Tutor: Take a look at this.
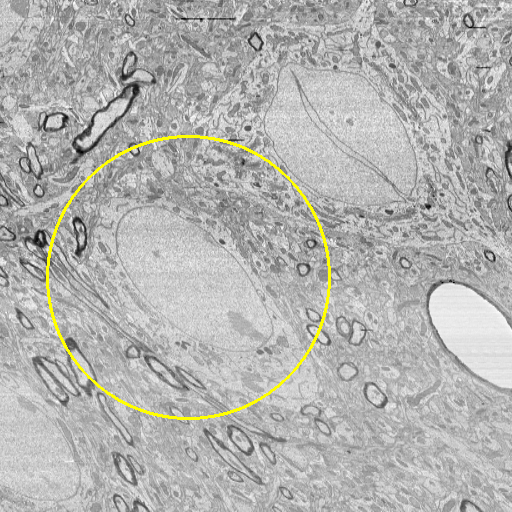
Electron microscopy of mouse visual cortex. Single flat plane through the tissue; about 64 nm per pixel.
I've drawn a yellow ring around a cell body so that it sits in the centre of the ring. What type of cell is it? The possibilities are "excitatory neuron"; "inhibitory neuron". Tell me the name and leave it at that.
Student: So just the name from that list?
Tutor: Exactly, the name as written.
excitatory neuron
